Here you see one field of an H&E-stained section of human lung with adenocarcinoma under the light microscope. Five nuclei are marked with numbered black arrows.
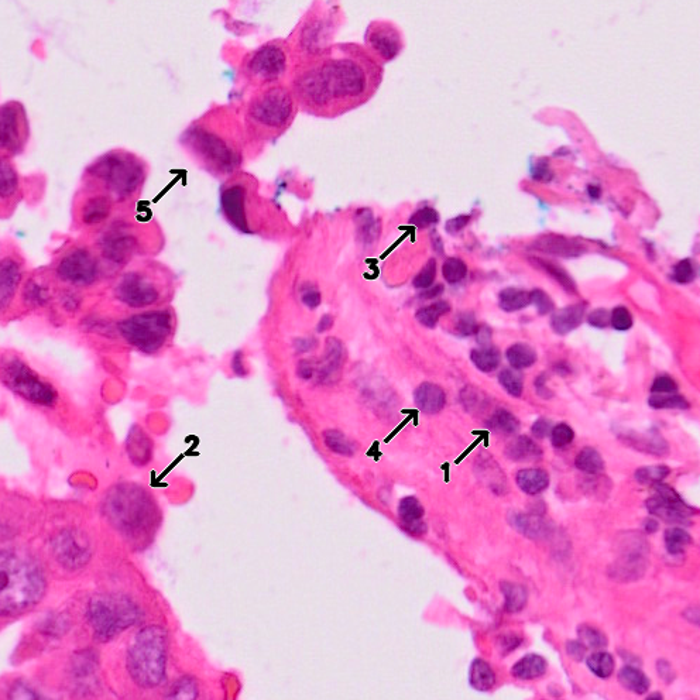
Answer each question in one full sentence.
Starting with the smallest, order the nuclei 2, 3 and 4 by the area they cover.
From smallest to largest, the order is 3, 4, 2.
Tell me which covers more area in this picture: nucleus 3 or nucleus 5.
Of the two, number 5 is bigger and takes up about 3 times the area of number 3.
